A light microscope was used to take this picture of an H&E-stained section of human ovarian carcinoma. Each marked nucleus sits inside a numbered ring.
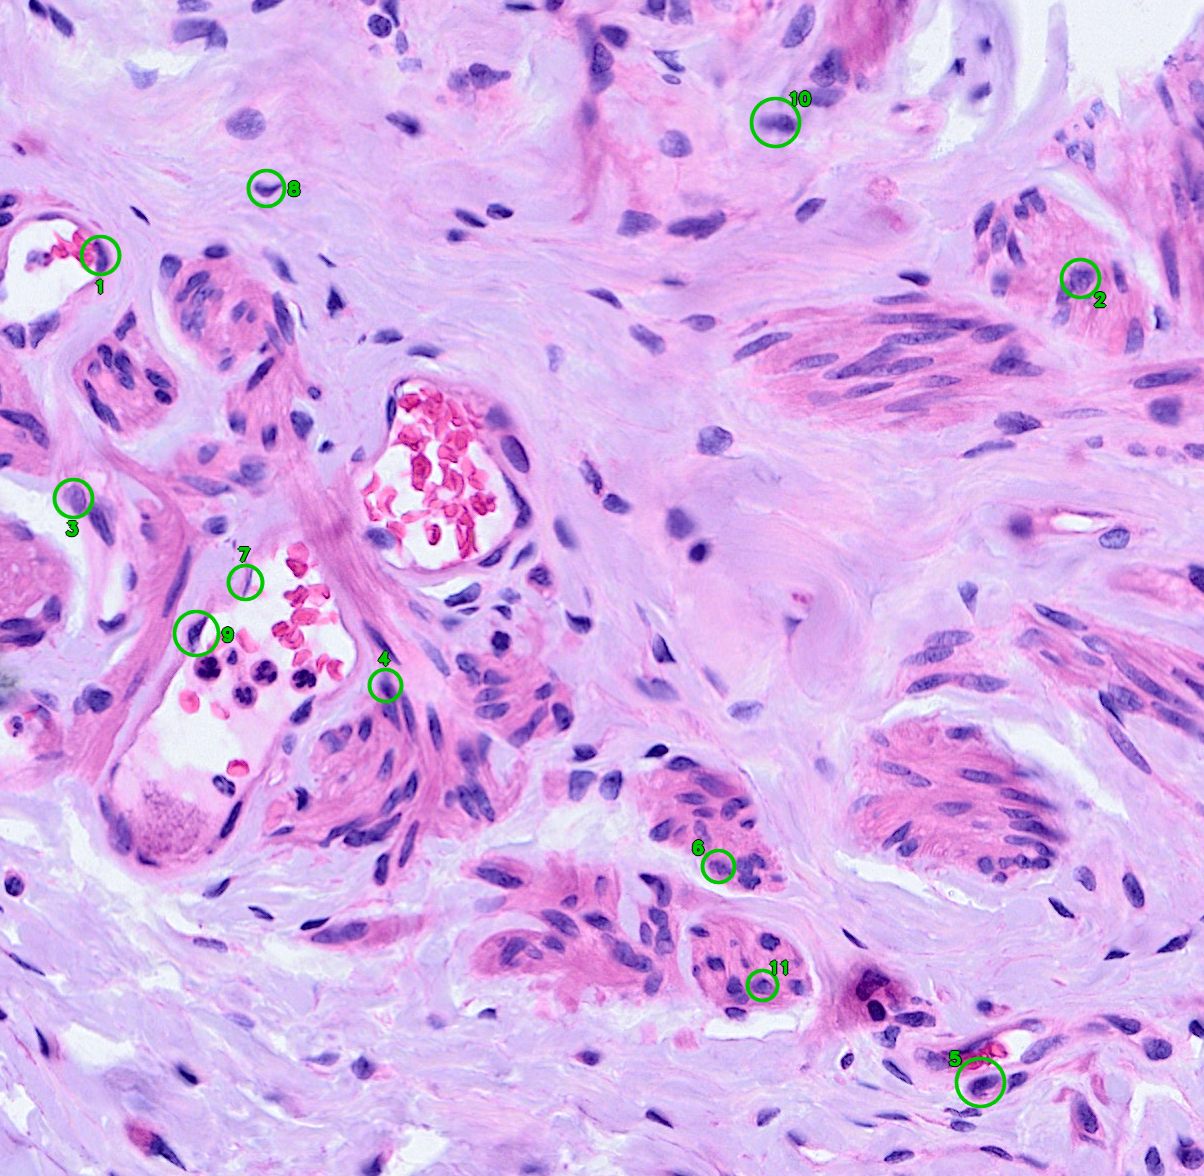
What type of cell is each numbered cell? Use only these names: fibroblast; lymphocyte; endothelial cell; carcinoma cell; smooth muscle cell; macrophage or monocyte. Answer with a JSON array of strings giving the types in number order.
["endothelial cell", "smooth muscle cell", "endothelial cell", "smooth muscle cell", "endothelial cell", "smooth muscle cell", "endothelial cell", "fibroblast", "endothelial cell", "fibroblast", "smooth muscle cell"]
